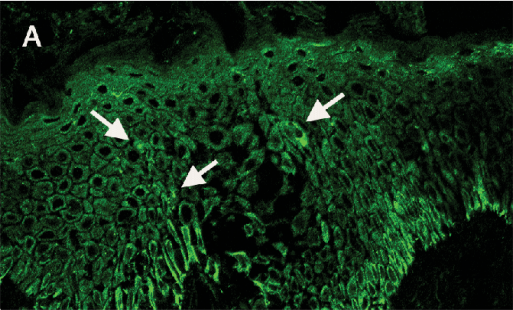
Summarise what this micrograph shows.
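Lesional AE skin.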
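Stratified epidermis in which green fluorescence outlines keratinocytes as densely packed polygonal cells, each with a dark, round, unlabelled nucleus, giving a honeycomb pattern. Toward the lower edge the cells become taller and more elongated, forming a palisade-like basal zone, while the upper surface is undulating with a thinner, more diffusely green outer layer.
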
